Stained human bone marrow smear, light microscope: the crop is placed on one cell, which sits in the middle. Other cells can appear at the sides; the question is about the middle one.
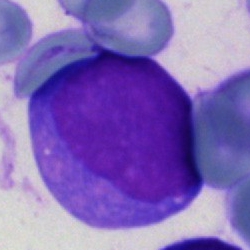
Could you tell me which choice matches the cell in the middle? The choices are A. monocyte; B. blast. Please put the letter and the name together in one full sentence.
The middle of the crop holds a blast, which points to option B.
